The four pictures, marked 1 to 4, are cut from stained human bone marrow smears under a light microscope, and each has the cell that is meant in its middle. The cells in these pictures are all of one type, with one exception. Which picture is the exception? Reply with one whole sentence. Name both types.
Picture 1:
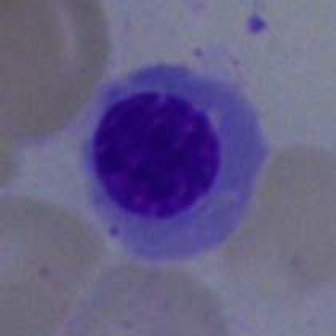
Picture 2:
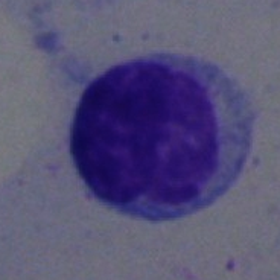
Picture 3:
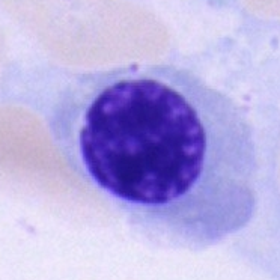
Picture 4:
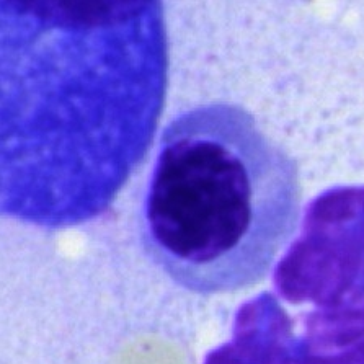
All pictures except 2 show erythroblasts; picture 2 shows a lymphocyte.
